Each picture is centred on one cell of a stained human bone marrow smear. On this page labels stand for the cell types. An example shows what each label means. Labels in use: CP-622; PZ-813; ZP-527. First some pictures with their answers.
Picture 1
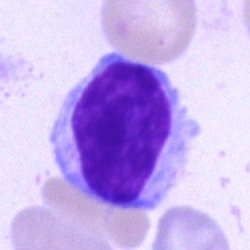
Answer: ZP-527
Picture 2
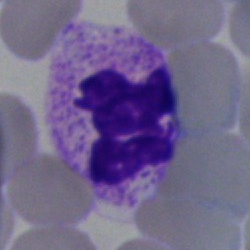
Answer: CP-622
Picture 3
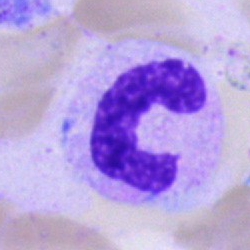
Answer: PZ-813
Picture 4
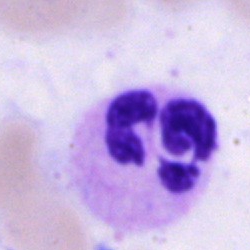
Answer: CP-622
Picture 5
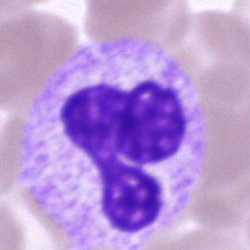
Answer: CP-622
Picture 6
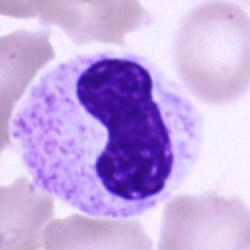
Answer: PZ-813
